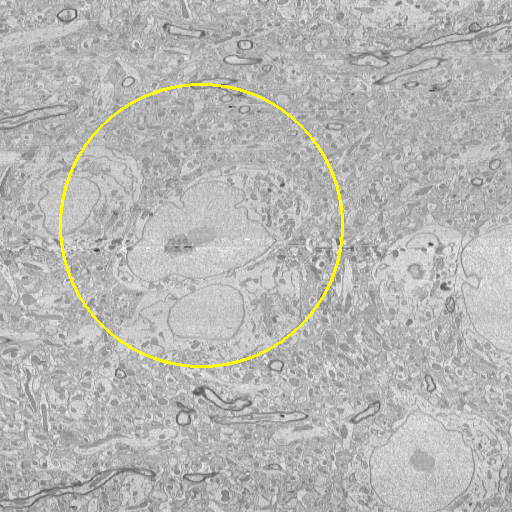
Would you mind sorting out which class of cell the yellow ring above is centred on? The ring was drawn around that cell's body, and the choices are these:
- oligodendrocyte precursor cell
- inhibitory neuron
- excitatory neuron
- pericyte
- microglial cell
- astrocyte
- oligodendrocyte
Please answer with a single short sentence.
This is the cell body of an inhibitory neuron.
